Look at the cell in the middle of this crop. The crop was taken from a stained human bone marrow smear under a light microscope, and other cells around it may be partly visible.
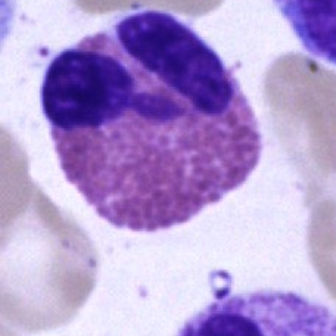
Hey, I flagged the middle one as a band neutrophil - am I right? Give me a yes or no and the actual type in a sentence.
No, the central cell is an eosinophil; it should not be labelled a band neutrophil.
